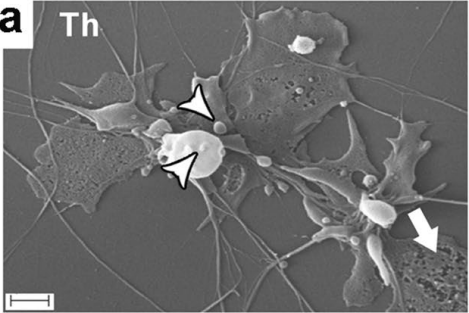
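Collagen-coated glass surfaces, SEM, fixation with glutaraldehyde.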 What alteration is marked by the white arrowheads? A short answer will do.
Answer: Membrane blebbing and shedding.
